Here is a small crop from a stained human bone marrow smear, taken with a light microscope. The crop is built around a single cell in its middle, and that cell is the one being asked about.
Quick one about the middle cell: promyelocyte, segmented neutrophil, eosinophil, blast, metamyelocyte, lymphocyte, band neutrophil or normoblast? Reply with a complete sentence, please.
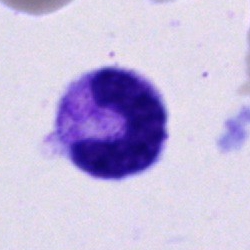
This crop is built around a band neutrophil at its centre.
